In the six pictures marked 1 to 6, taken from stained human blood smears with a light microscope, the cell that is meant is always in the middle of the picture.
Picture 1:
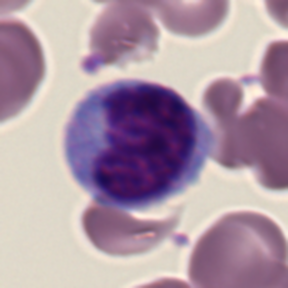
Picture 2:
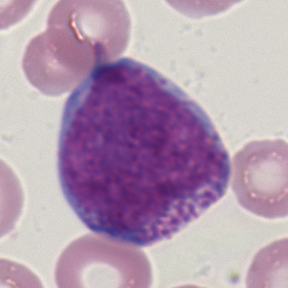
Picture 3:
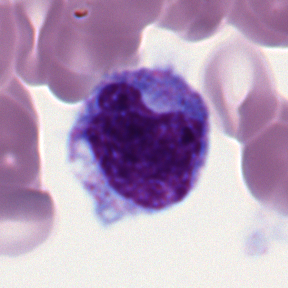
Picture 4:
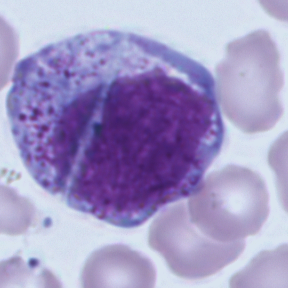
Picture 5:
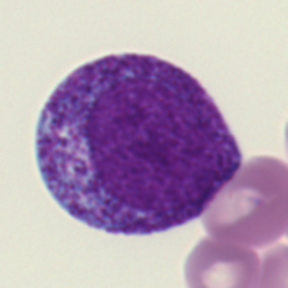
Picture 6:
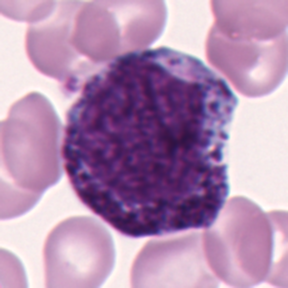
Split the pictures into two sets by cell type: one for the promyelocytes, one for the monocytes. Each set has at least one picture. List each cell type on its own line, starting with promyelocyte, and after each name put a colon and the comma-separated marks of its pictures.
promyelocyte: 2, 4, 5, 6
monocyte: 1, 3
